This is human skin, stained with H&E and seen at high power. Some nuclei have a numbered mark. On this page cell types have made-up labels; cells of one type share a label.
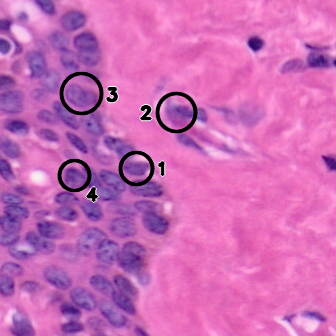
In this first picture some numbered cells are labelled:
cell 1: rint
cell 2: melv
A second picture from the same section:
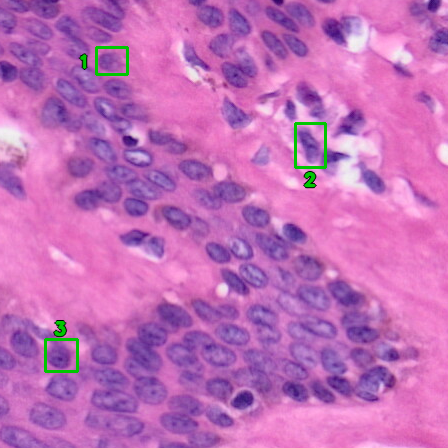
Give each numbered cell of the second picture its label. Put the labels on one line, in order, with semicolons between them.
rint; melv; rint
